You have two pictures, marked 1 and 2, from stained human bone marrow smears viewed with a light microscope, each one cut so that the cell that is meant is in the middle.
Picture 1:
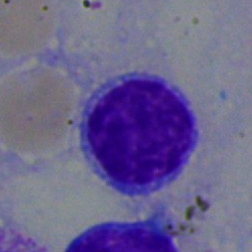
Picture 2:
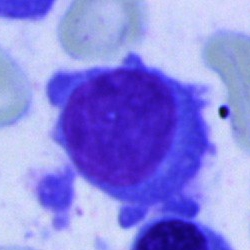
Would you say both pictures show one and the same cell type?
no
